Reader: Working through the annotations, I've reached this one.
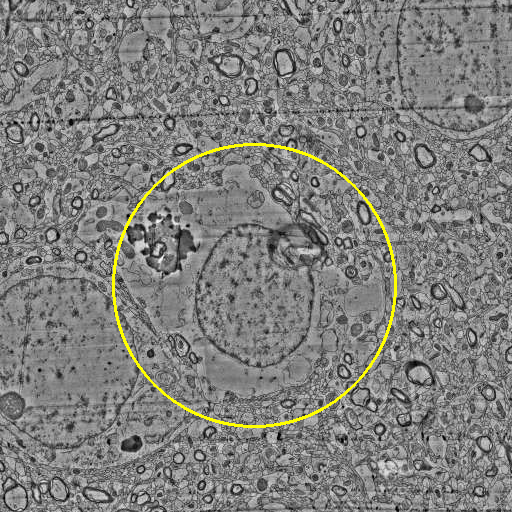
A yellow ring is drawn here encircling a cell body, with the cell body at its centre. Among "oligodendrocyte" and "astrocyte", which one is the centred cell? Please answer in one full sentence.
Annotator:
The cell body at the centre of the yellow ring in this image belongs to an astrocyte.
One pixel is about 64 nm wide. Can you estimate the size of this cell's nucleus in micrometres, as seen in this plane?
In this plane, the nucleus is roughly 9 by 8 micrometres.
